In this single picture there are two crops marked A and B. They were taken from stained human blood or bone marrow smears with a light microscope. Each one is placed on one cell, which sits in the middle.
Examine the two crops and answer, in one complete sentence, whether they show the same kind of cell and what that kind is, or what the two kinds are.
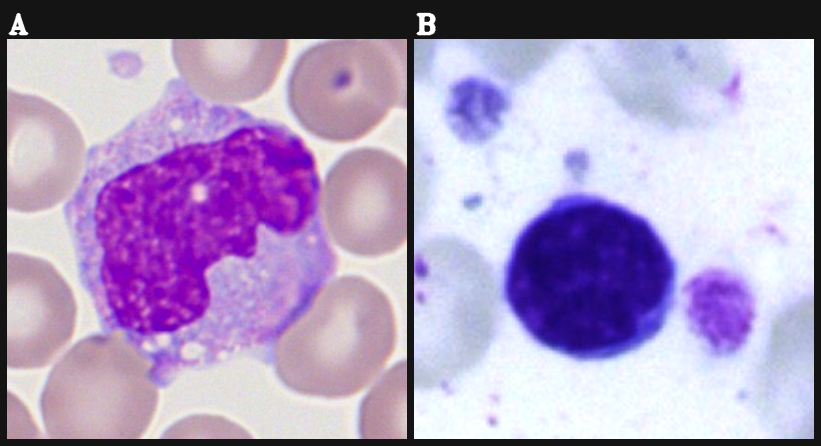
No, a monocyte is the subject of crop A, and a lymphocyte is the subject of crop B.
